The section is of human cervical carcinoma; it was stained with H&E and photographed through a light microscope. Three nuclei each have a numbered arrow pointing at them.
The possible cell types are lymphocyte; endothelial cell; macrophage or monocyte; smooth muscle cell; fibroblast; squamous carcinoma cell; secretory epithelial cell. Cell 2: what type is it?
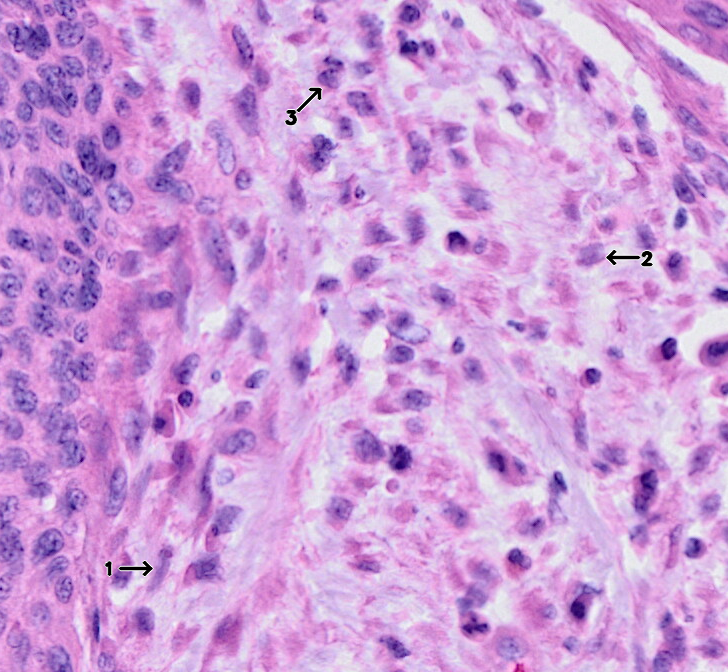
fibroblast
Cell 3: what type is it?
macrophage or monocyte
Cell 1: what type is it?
fibroblast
